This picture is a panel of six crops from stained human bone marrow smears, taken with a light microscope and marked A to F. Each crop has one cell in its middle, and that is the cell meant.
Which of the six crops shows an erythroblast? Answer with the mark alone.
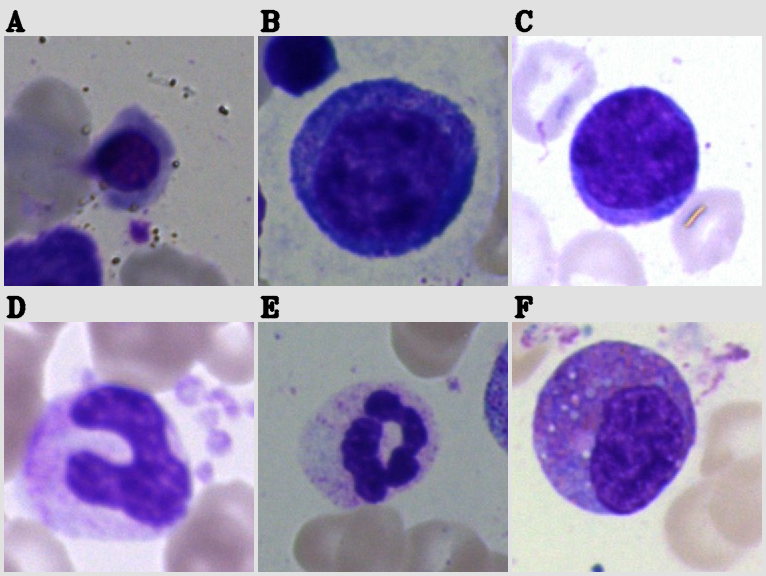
A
